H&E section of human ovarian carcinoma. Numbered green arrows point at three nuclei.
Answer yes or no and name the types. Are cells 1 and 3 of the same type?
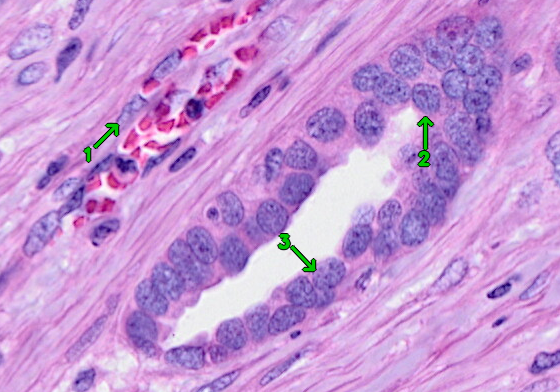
No, cell 1 is an endothelial cell and cell 3 is a carcinoma cell.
